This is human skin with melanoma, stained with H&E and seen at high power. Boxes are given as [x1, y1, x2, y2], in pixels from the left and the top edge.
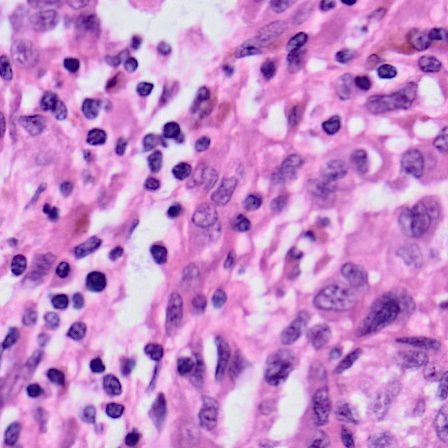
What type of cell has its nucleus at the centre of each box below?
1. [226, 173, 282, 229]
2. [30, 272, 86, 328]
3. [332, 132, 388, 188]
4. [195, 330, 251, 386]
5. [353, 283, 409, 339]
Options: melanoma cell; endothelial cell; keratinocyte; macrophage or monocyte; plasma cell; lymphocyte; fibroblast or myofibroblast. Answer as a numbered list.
1. lymphocyte
2. lymphocyte
3. melanoma cell
4. melanoma cell
5. melanoma cell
